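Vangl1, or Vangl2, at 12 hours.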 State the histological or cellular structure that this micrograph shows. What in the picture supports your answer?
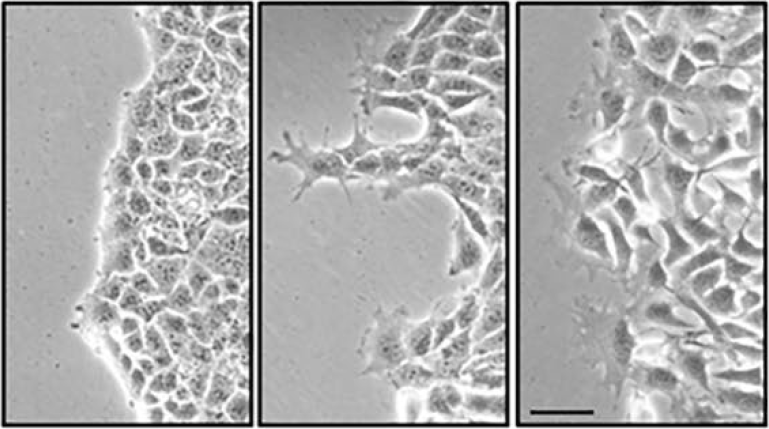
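A sheet of cells ends in a free border facing an empty cell-free area on the left. Cells at the border extend protrusions into the empty area.
Conclusion: leading-edge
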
